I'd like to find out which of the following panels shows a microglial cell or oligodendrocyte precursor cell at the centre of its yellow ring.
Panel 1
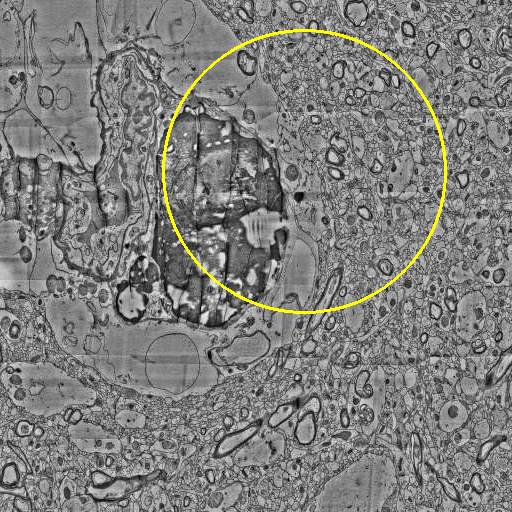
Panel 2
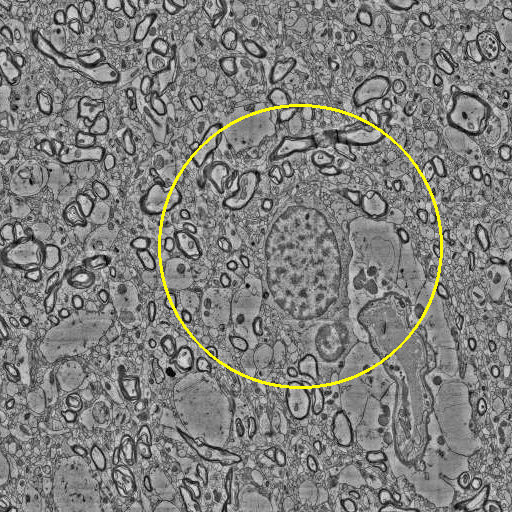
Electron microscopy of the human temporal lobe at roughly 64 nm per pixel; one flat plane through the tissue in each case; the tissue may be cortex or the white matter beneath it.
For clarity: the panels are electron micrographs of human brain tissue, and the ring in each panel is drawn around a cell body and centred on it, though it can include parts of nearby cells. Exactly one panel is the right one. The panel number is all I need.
1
